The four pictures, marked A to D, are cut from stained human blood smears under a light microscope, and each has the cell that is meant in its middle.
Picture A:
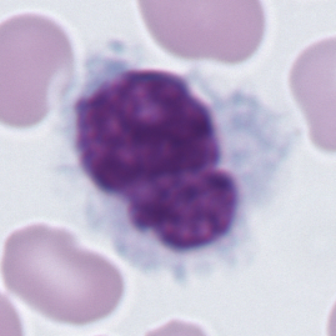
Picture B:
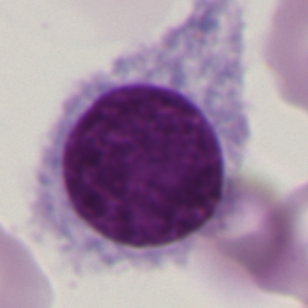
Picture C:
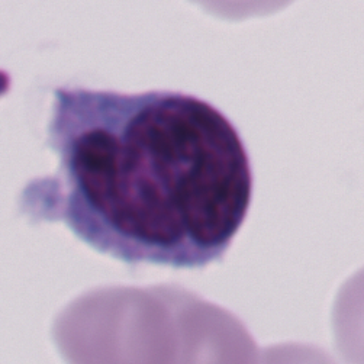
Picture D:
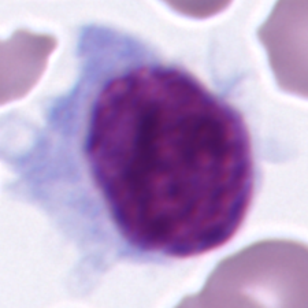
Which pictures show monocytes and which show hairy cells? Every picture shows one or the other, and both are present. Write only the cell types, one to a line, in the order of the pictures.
hairy cell
hairy cell
monocyte
hairy cell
